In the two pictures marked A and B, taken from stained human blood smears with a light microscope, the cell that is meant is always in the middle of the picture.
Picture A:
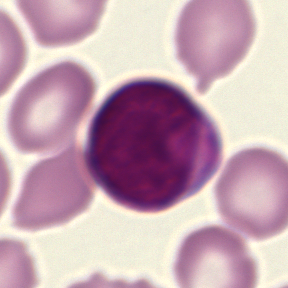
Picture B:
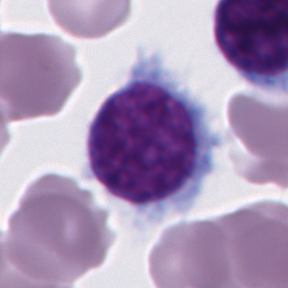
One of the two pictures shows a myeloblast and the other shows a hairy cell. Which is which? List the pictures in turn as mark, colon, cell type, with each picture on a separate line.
A: myeloblast
B: hairy cell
